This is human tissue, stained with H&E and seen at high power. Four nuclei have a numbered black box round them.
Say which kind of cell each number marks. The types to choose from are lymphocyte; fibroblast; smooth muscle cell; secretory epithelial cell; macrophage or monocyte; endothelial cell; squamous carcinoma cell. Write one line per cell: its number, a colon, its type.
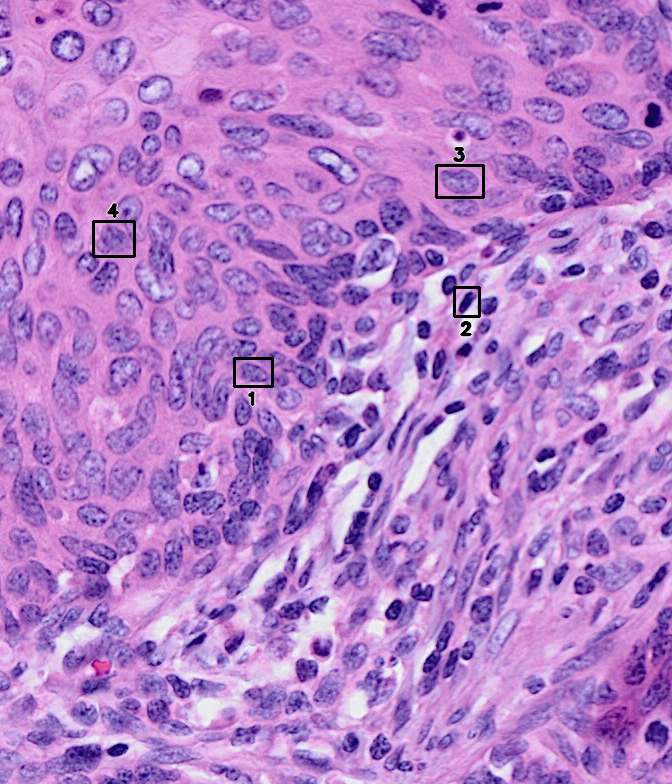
1: squamous carcinoma cell
2: lymphocyte
3: squamous carcinoma cell
4: squamous carcinoma cell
